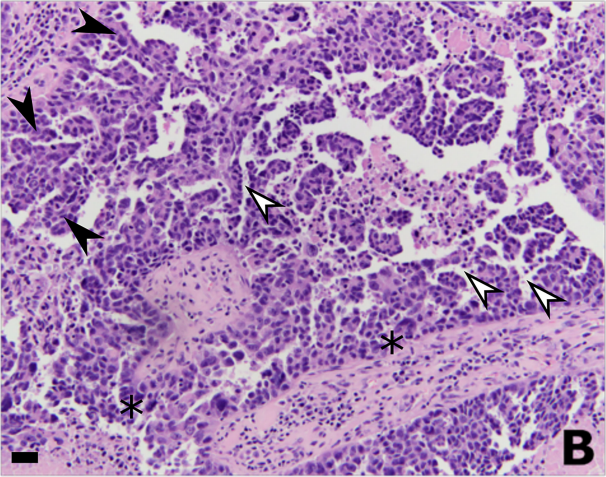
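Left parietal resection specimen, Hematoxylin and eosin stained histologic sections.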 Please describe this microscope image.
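This is invasive carcinoma made of crowded epithelioid tumor cells with enlarged, dark purple nuclei and scant pink cytoplasm. The cells form complex glandular structures with branching papillary projections and narrow slit-like clear spaces between them. The nuclei vary in size and shape and are strongly hyperchromatic. A band of pink fibrous stroma with elongated spindle-shaped nuclei runs along the lower right edge of the tumor.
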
